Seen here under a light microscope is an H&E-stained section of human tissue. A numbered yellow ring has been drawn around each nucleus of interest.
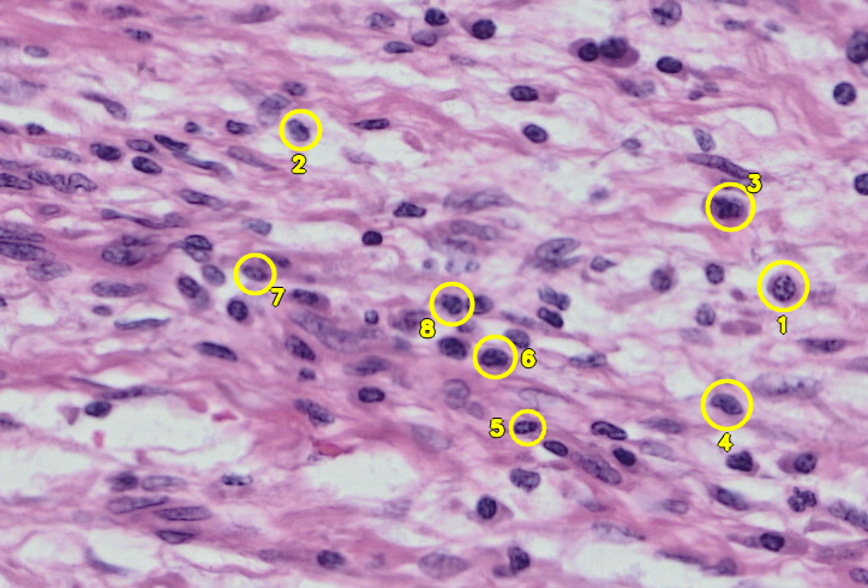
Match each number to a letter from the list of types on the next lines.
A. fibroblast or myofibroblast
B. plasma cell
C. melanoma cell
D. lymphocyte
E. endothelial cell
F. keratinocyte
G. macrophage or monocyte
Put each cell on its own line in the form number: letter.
1: B
2: D
3: B
4: D
5: B
6: B
7: B
8: D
